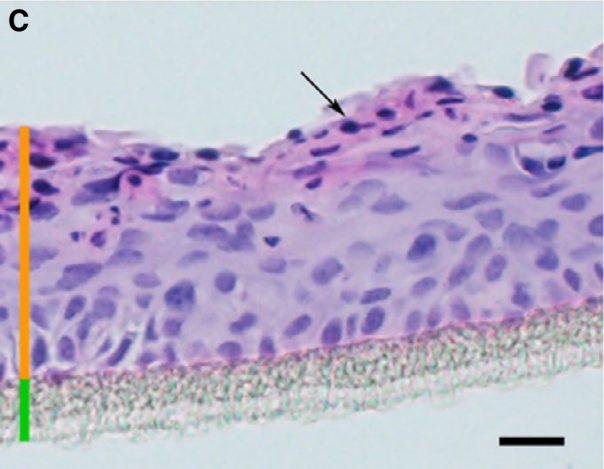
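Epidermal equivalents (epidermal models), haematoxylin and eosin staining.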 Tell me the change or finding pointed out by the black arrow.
Parakeratosis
